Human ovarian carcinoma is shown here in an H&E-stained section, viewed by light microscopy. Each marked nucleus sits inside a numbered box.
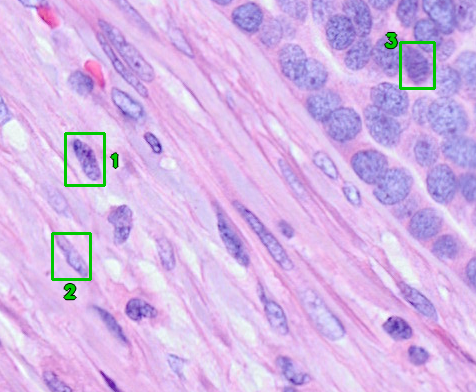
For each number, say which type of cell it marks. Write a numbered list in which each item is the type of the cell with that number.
1. macrophage or monocyte
2. fibroblast
3. carcinoma cell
